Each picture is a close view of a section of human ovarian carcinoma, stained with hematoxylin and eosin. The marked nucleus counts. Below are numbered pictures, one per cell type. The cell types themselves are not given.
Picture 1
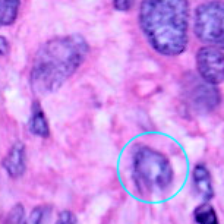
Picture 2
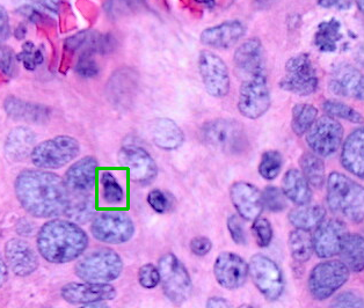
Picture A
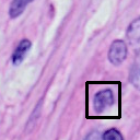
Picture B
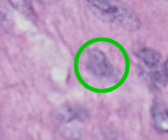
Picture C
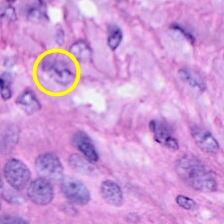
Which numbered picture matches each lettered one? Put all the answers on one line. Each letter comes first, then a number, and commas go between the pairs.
A 2, B 1, C 1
